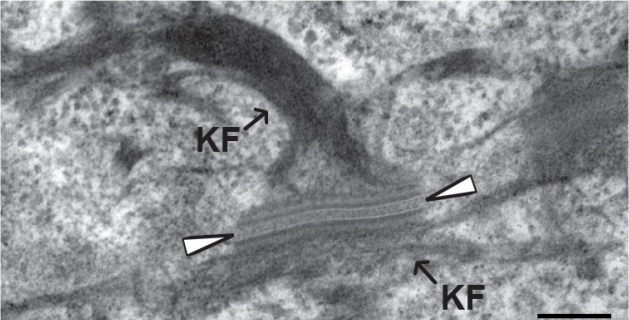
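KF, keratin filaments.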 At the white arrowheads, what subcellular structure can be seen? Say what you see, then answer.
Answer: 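The arrowheads mark the two ends of a long junction between two cell membranes. A thin dark line lies centred in the pale gap between the two membranes. Filament bundles insert into dense plaques on both sides.
Hence: electron dense midline.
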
